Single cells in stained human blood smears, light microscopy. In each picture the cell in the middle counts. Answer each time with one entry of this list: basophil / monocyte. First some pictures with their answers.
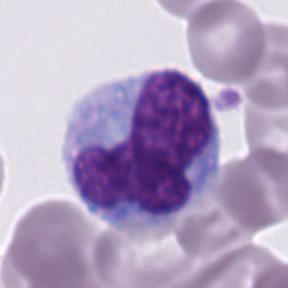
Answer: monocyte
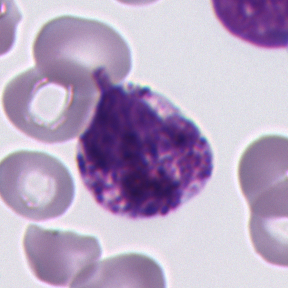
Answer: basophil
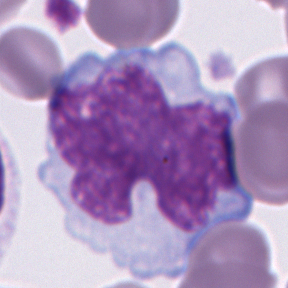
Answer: monocyte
